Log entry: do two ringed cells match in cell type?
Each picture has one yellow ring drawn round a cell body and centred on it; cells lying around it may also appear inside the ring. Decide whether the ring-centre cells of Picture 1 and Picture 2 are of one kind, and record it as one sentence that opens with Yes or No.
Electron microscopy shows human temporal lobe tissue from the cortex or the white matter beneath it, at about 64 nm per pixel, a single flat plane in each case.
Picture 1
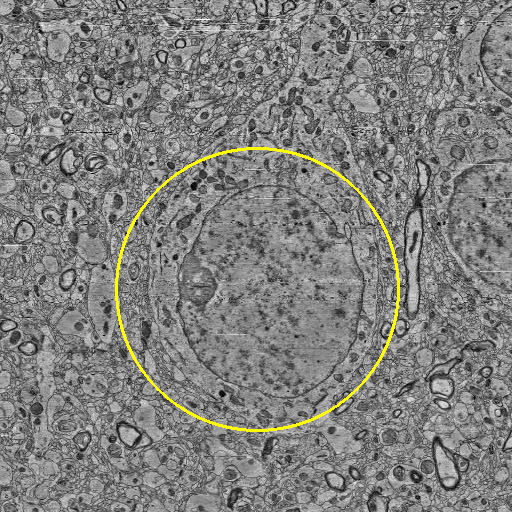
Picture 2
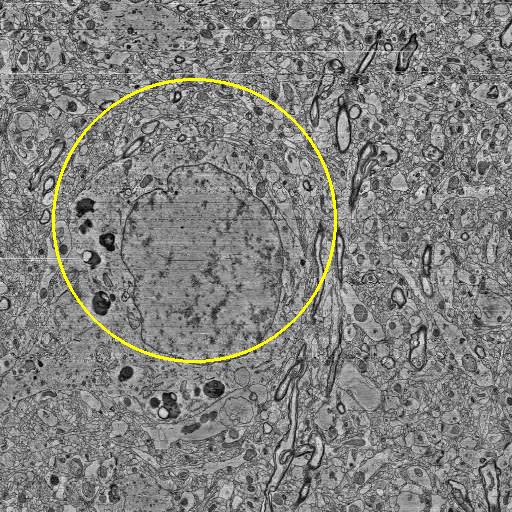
No, the cells at the ring centres of the two pictures belong to two kinds.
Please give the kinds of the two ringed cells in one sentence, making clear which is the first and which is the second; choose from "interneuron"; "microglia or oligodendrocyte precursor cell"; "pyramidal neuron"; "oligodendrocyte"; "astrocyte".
In the second picture the ringed cell is a pyramidal neuron; in the first it is an interneuron.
